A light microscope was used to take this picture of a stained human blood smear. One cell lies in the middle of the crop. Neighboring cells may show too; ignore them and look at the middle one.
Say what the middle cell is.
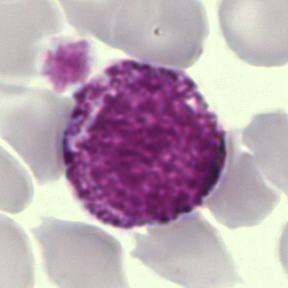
myelocyte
